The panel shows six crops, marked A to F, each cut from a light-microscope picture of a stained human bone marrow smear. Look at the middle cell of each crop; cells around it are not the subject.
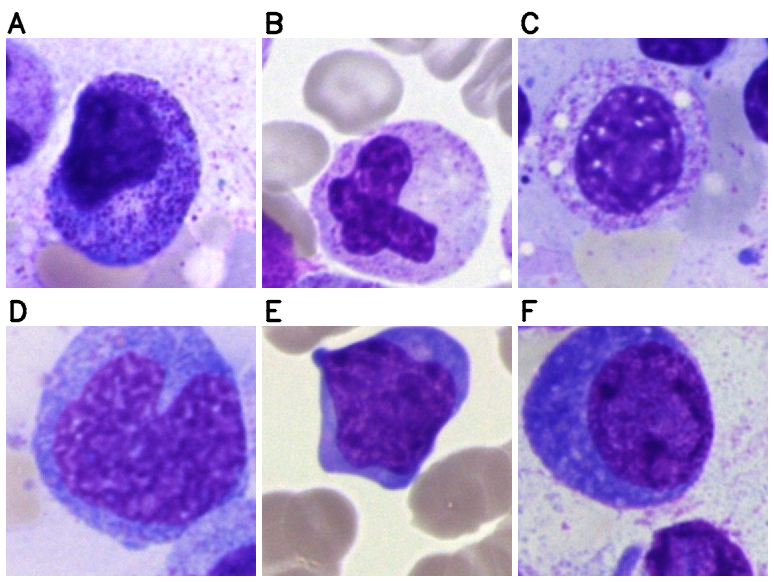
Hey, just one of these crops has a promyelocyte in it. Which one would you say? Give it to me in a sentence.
The crop marked A is the one that shows a promyelocyte.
